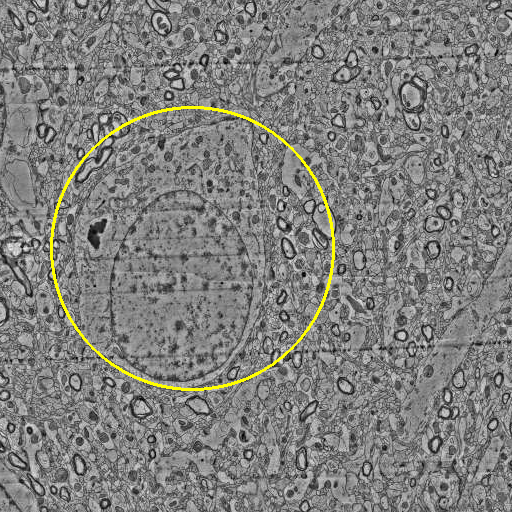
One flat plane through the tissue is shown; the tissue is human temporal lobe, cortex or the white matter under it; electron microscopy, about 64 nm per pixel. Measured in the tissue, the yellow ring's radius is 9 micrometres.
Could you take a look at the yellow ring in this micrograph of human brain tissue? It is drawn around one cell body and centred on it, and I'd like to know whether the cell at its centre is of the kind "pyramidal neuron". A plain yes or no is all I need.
yes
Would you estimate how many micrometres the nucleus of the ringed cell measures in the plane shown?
In this plane the nucleus measures roughly 12 by 9 micrometers.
